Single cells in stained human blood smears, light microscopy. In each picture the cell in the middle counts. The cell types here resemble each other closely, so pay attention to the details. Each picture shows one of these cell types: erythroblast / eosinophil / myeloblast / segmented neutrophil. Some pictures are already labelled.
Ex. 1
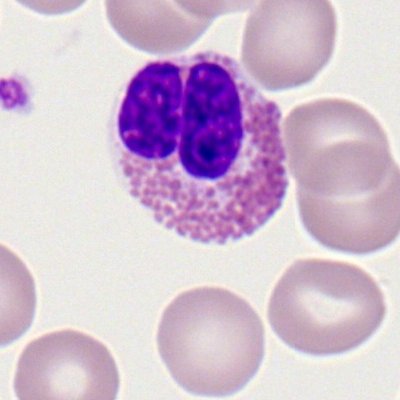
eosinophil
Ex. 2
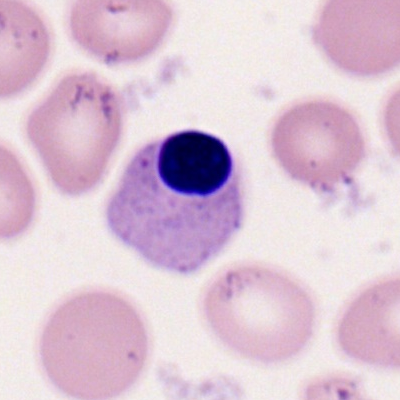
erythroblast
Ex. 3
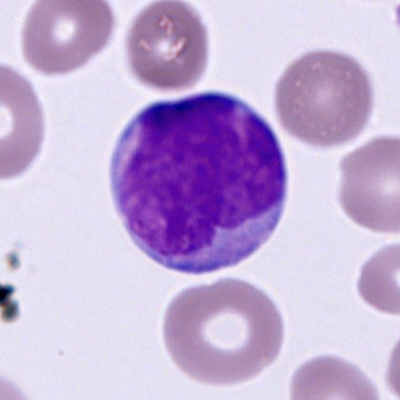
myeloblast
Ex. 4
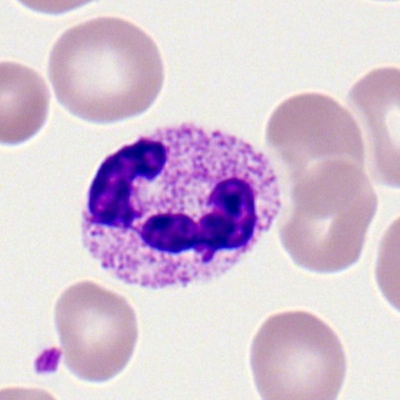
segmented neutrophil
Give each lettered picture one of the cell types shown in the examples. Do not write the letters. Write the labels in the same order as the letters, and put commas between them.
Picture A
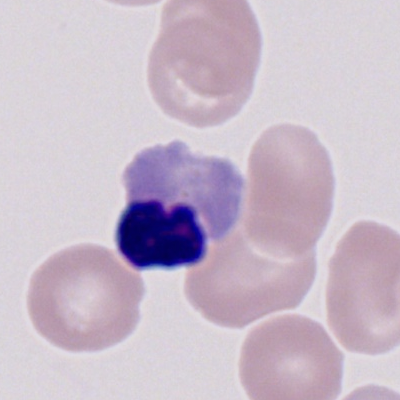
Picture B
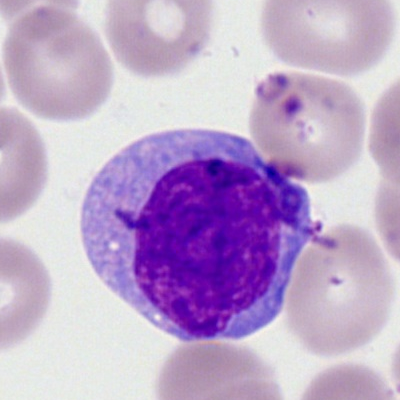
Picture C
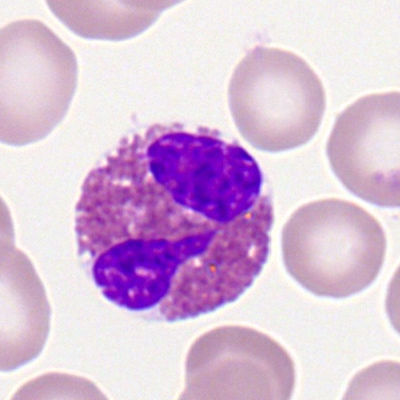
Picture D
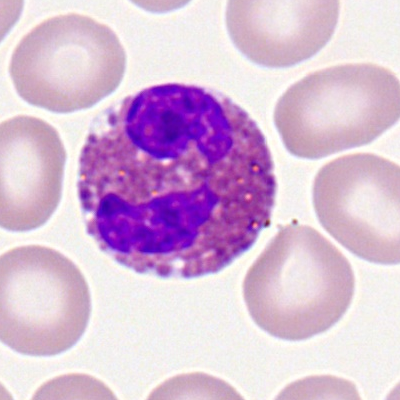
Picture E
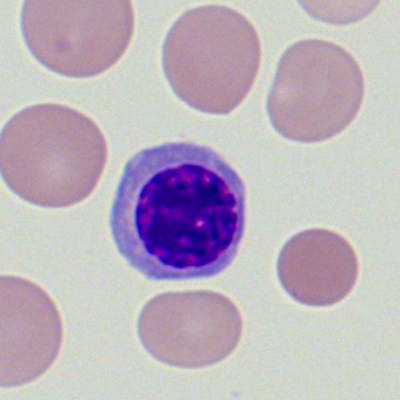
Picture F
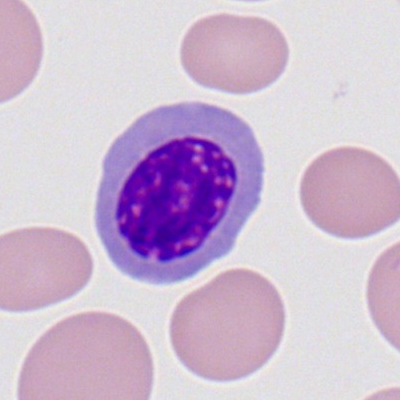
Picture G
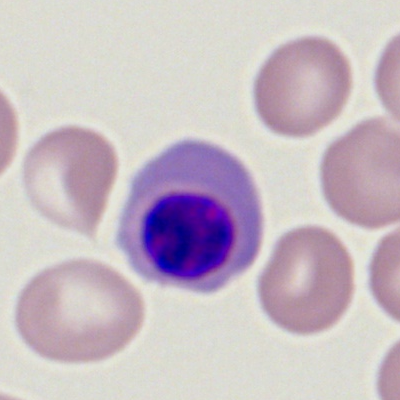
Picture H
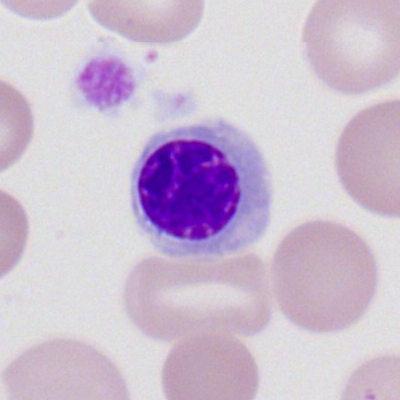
erythroblast, myeloblast, eosinophil, eosinophil, erythroblast, erythroblast, erythroblast, erythroblast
